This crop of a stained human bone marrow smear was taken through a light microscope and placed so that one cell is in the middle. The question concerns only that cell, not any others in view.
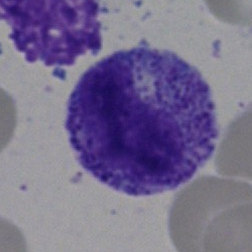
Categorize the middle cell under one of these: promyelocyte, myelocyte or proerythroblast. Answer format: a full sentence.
The center cell of this crop is a promyelocyte.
